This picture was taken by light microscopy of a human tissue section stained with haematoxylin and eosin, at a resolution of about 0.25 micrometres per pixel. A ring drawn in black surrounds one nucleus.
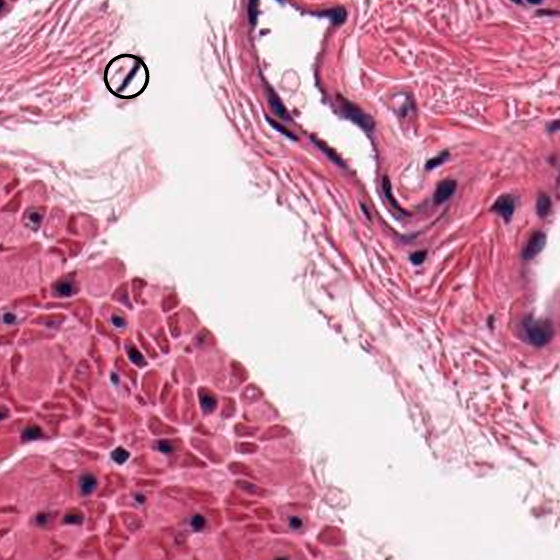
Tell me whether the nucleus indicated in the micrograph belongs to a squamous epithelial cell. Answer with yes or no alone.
no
